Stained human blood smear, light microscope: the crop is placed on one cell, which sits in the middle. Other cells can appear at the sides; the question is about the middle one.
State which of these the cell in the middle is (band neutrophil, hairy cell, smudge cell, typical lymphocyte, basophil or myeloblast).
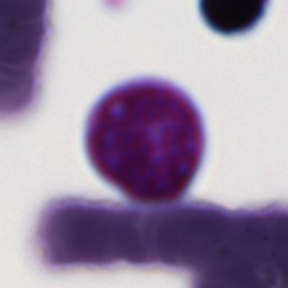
myeloblast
